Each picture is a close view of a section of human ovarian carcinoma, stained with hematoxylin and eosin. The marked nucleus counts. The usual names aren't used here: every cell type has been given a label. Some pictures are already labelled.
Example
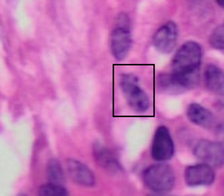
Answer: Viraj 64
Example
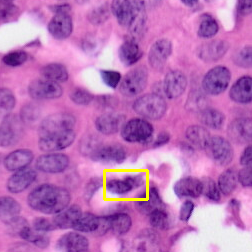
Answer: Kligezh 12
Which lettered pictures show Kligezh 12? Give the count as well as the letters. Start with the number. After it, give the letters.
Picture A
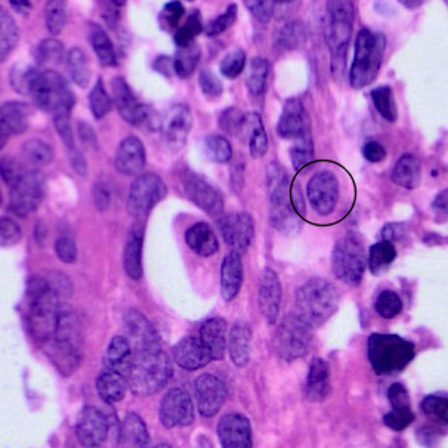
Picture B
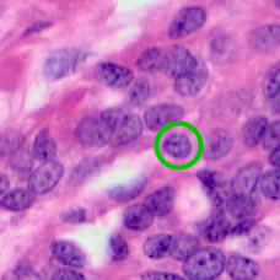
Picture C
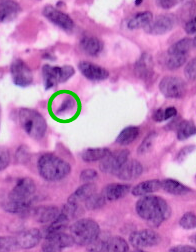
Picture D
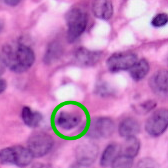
0, none of them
